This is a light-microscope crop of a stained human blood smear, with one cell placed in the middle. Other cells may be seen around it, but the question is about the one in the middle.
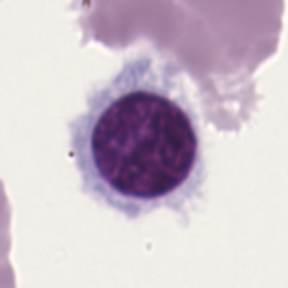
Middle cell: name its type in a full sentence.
In this smear crop, the middle cell is a hairy cell.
